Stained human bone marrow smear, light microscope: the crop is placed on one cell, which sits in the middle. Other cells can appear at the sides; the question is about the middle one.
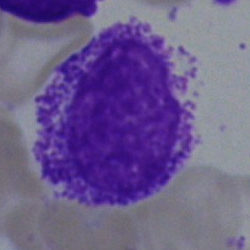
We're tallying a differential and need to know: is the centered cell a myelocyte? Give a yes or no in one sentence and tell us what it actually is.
Yes, as regards the cell in the middle, it is a myelocyte.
